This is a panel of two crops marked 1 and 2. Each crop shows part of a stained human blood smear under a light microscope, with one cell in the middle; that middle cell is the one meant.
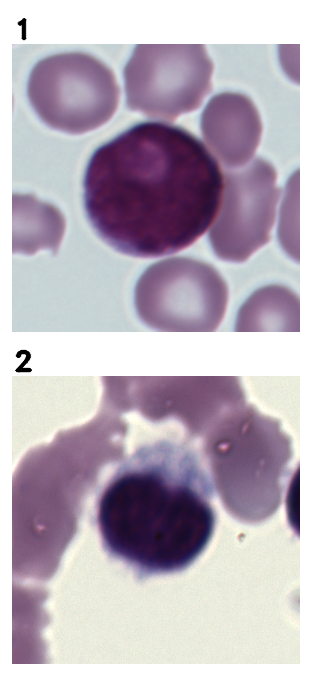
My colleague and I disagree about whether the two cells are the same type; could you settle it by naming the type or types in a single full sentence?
No, whereas crop 1 shows a blast, crop 2 shows a hairy cell.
